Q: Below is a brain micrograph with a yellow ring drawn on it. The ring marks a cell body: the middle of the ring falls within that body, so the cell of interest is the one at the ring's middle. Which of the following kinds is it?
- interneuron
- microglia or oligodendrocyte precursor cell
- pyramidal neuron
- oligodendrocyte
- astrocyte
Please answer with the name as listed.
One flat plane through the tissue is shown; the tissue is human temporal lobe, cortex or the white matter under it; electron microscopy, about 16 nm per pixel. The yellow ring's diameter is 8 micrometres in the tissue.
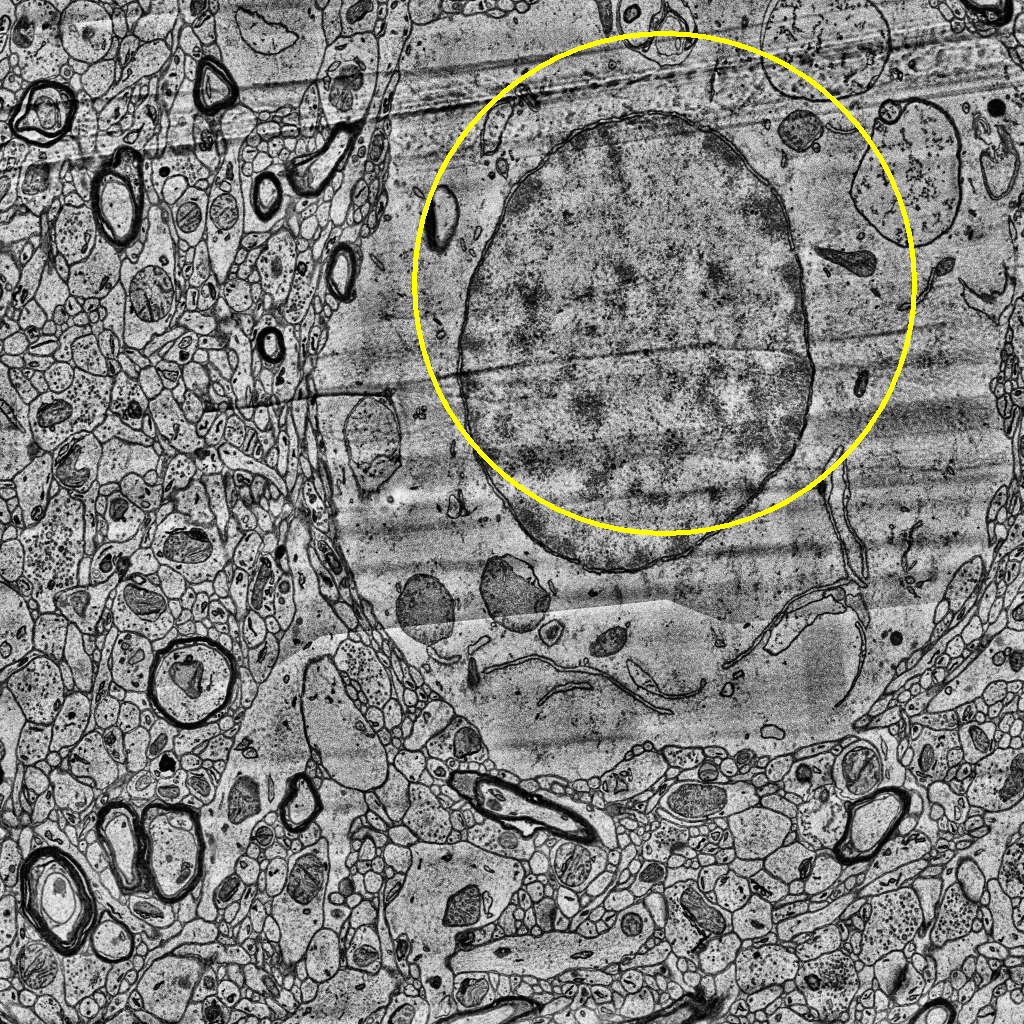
astrocyte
